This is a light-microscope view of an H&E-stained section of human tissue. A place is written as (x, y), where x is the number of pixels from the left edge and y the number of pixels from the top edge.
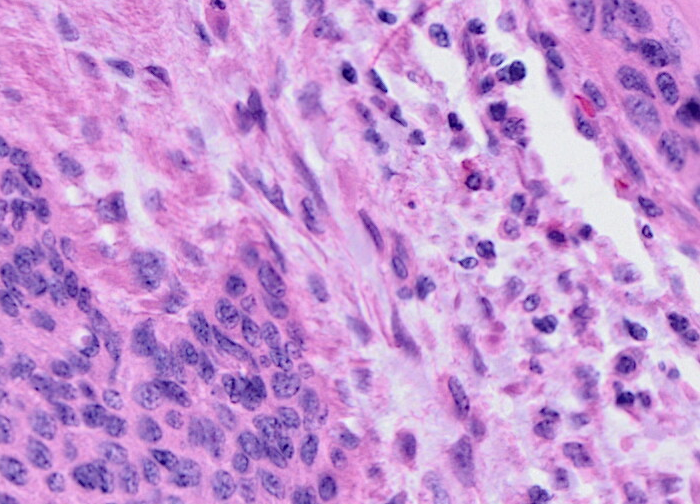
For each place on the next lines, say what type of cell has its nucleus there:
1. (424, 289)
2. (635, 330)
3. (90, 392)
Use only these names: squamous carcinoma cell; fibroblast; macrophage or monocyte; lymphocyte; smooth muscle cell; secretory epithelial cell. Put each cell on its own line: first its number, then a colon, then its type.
1: lymphocyte
2: lymphocyte
3: squamous carcinoma cell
